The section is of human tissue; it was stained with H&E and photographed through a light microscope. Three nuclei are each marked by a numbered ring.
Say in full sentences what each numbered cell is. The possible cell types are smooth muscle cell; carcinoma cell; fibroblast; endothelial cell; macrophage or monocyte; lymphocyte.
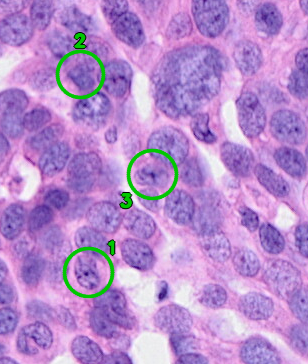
Cells 1 and 3 are macrophages or monocytes. Cell 2 is a carcinoma cell.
